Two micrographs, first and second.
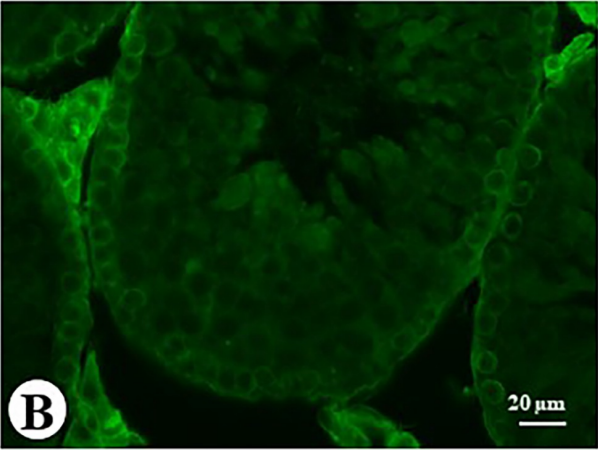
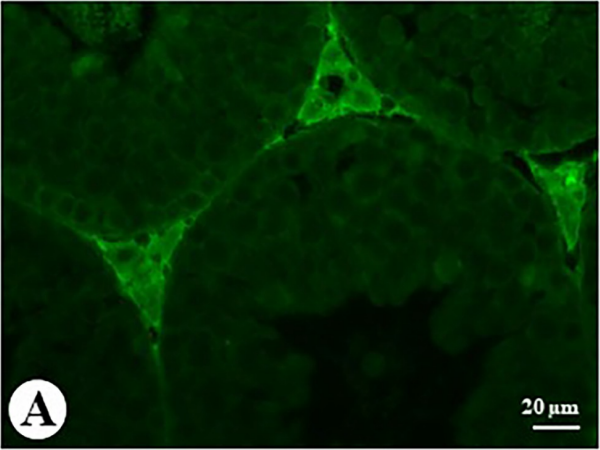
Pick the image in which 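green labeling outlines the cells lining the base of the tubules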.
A: The first image.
